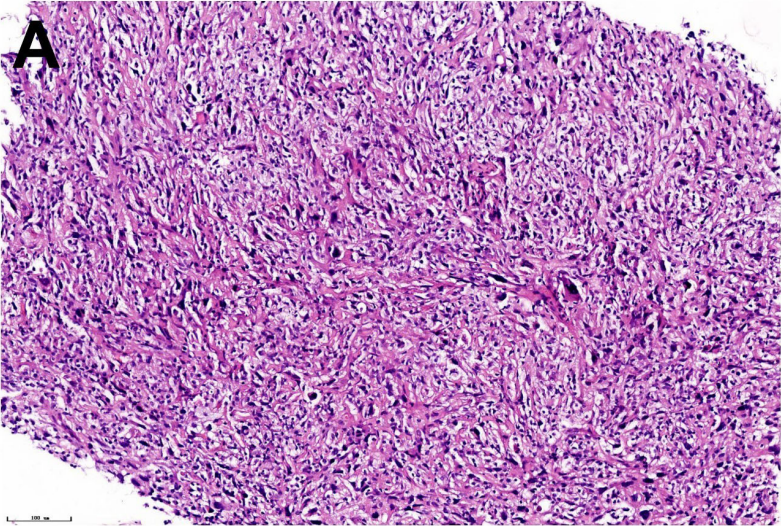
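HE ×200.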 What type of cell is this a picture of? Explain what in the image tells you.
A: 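Elongated cells with tapered nuclei fill the field. Cells lie closely packed in interlacing bundles. Nuclei are dark and vary in size. The answer: spindle-shaped tumor cells.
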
